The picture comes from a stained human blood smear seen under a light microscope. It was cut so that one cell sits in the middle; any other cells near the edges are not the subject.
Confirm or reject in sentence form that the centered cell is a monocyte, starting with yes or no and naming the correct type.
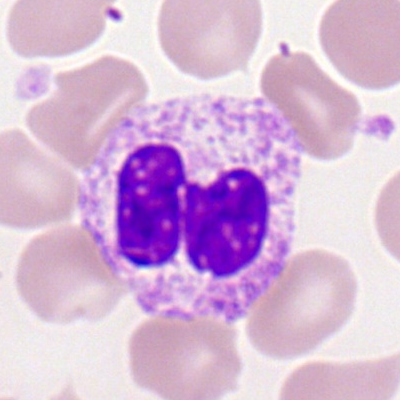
No, sorry, the middle cell is a neutrophil rather than a monocyte.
